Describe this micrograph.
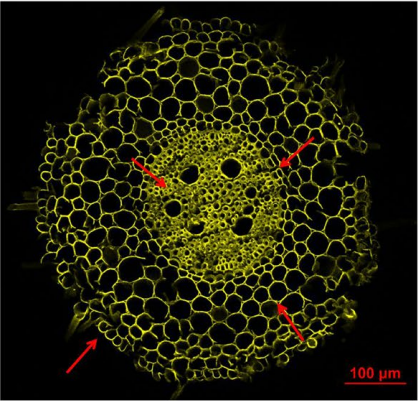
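Cross-section of a root with an irregular outline, a cortex of large polygonal parenchyma cells and a central vascular cylinder of small densely packed cells around several large vessels. The walls of the cortical parenchyma cells are sharply outlined in bright yellow, as are the outer cell layer and the vascular cylinder, which glows most intensely.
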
